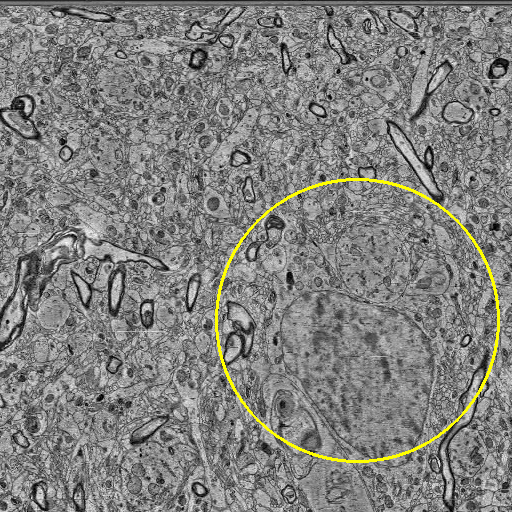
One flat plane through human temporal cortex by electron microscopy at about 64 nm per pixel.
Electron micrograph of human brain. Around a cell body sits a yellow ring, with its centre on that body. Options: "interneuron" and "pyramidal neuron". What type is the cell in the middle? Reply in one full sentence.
The cell sitting at the centre of the yellow ring is an interneuron.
